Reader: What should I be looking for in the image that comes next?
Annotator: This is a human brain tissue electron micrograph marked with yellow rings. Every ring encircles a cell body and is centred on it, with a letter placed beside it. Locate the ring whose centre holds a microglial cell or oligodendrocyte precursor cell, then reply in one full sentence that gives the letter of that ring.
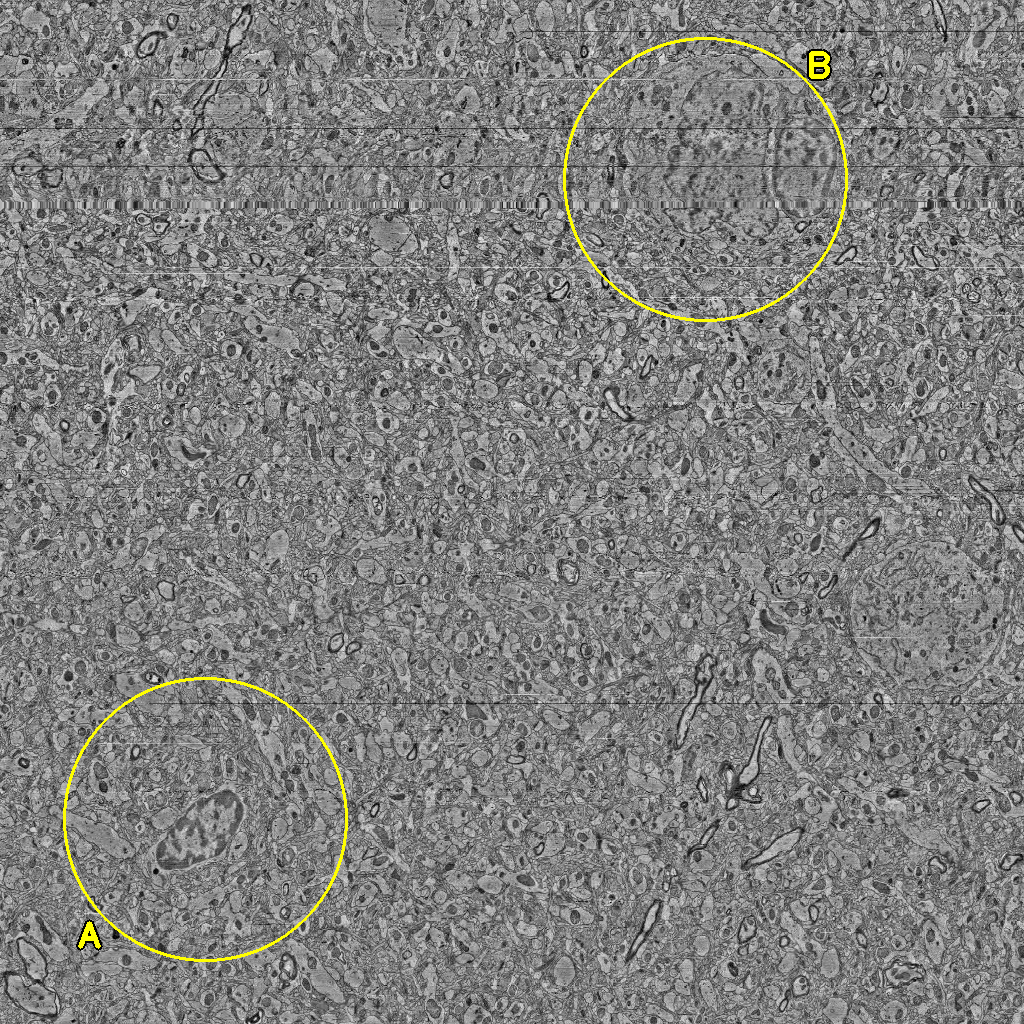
The ring centred on the cell asked for is the one labelled A.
